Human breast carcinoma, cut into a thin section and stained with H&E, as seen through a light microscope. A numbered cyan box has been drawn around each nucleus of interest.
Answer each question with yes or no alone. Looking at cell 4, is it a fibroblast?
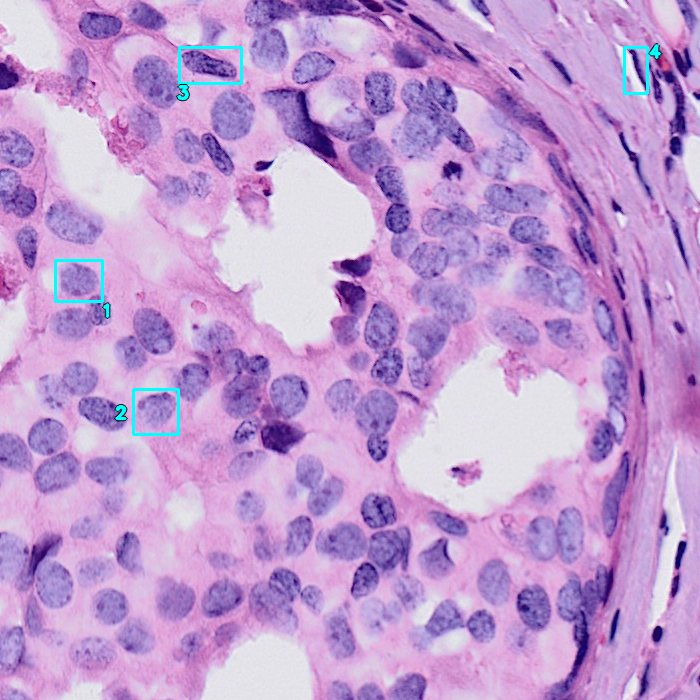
yes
